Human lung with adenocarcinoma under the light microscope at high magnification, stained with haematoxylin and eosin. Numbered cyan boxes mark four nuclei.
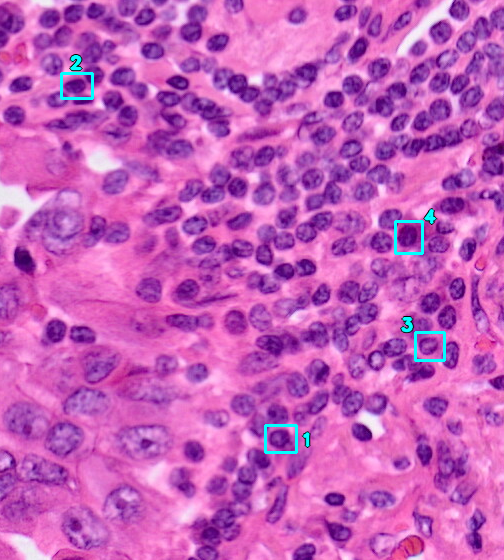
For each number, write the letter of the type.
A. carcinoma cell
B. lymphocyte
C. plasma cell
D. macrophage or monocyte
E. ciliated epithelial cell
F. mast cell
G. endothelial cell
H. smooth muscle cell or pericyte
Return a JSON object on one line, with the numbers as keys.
{"1": "B", "2": "B", "3": "B", "4": "C"}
